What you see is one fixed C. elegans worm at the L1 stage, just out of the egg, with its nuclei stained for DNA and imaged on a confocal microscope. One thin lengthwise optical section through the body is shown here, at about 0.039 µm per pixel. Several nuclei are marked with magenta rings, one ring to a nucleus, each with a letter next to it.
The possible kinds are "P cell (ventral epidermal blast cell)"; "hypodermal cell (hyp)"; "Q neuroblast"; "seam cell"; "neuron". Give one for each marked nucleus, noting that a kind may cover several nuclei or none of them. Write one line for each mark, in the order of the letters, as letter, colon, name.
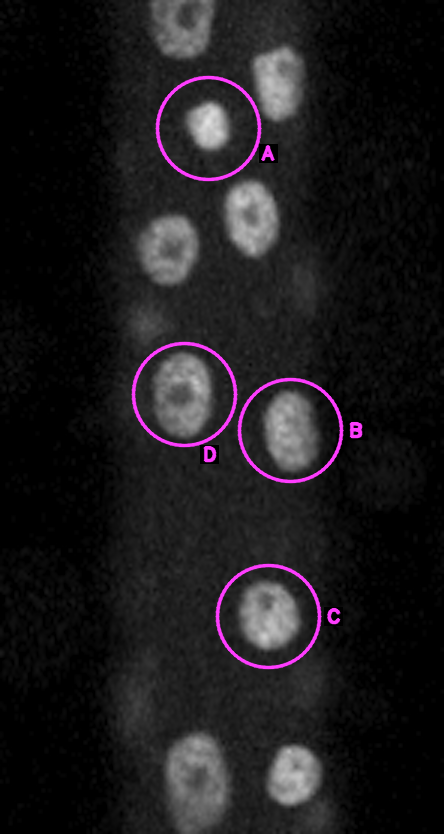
A: neuron
B: P cell (ventral epidermal blast cell)
C: seam cell
D: hypodermal cell (hyp)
